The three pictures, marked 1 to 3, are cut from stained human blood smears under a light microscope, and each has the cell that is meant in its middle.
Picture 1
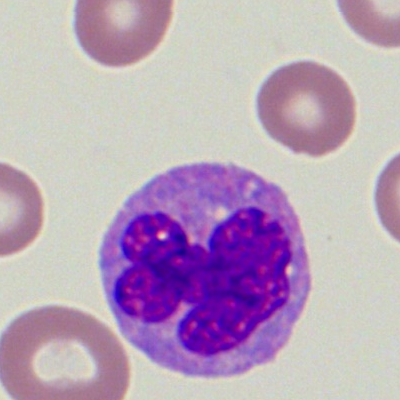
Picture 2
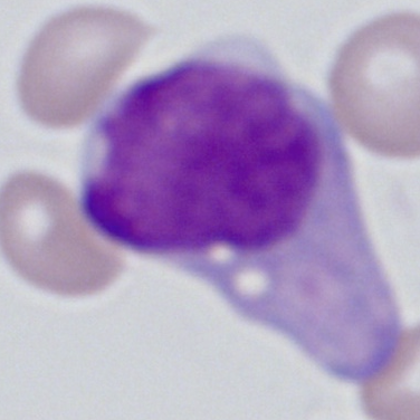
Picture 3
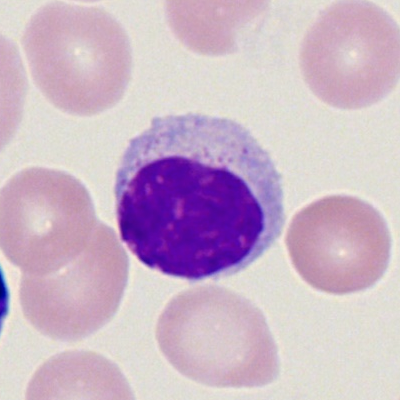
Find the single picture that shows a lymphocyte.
3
